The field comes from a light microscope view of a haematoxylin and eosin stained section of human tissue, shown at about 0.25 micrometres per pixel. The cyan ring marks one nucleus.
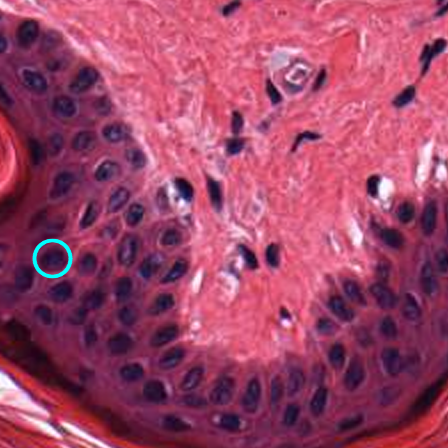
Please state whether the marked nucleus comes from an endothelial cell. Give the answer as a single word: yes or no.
no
